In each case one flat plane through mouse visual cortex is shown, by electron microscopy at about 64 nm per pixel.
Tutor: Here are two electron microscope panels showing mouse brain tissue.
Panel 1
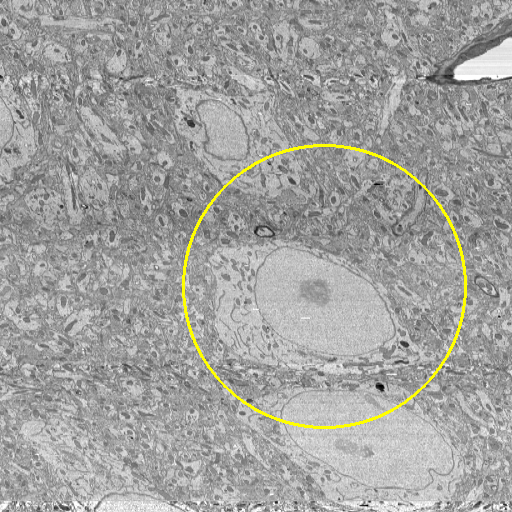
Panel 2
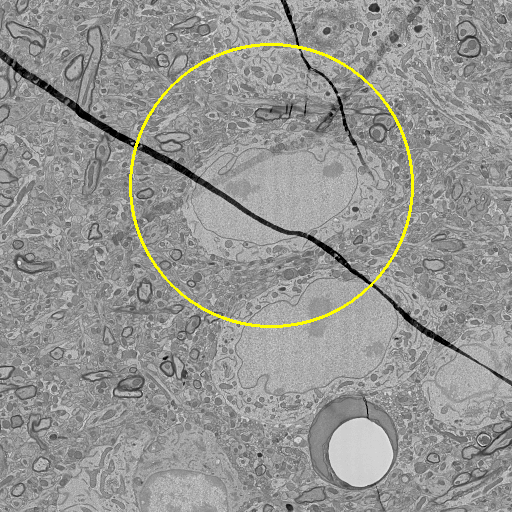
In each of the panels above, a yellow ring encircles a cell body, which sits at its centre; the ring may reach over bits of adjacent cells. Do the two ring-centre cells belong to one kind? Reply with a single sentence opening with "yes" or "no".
Yes, the two cells sitting at the ring centres in the panels belong to one kind.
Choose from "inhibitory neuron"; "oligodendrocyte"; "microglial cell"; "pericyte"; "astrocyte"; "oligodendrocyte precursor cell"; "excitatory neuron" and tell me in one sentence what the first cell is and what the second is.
Each of the two rings is centred on an excitatory neuron.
